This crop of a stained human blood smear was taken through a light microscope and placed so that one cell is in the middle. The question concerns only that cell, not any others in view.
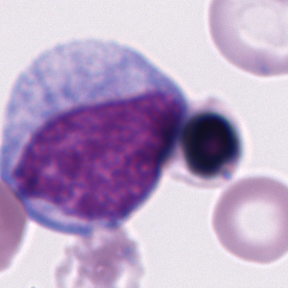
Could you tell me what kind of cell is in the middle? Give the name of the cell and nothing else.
promyelocyte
